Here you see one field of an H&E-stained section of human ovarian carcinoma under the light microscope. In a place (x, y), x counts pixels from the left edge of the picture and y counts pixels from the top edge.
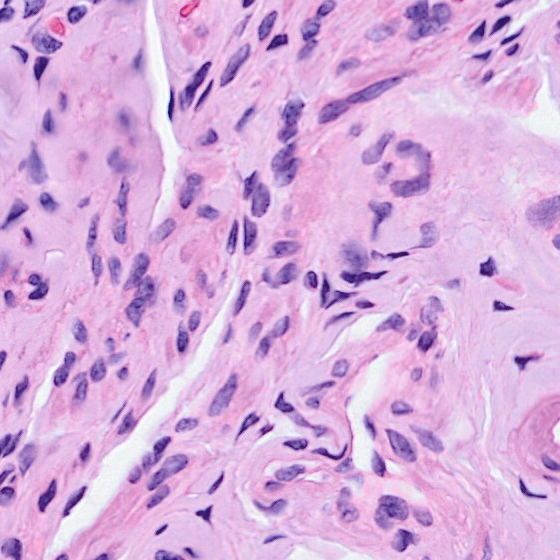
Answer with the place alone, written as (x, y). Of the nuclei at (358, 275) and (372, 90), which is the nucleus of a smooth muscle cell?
(372, 90)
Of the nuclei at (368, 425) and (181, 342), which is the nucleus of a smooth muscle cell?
(181, 342)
